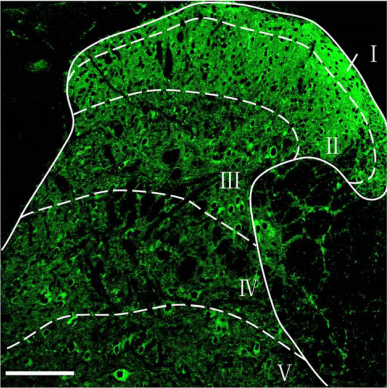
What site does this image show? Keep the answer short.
Spinal dorsal horn.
